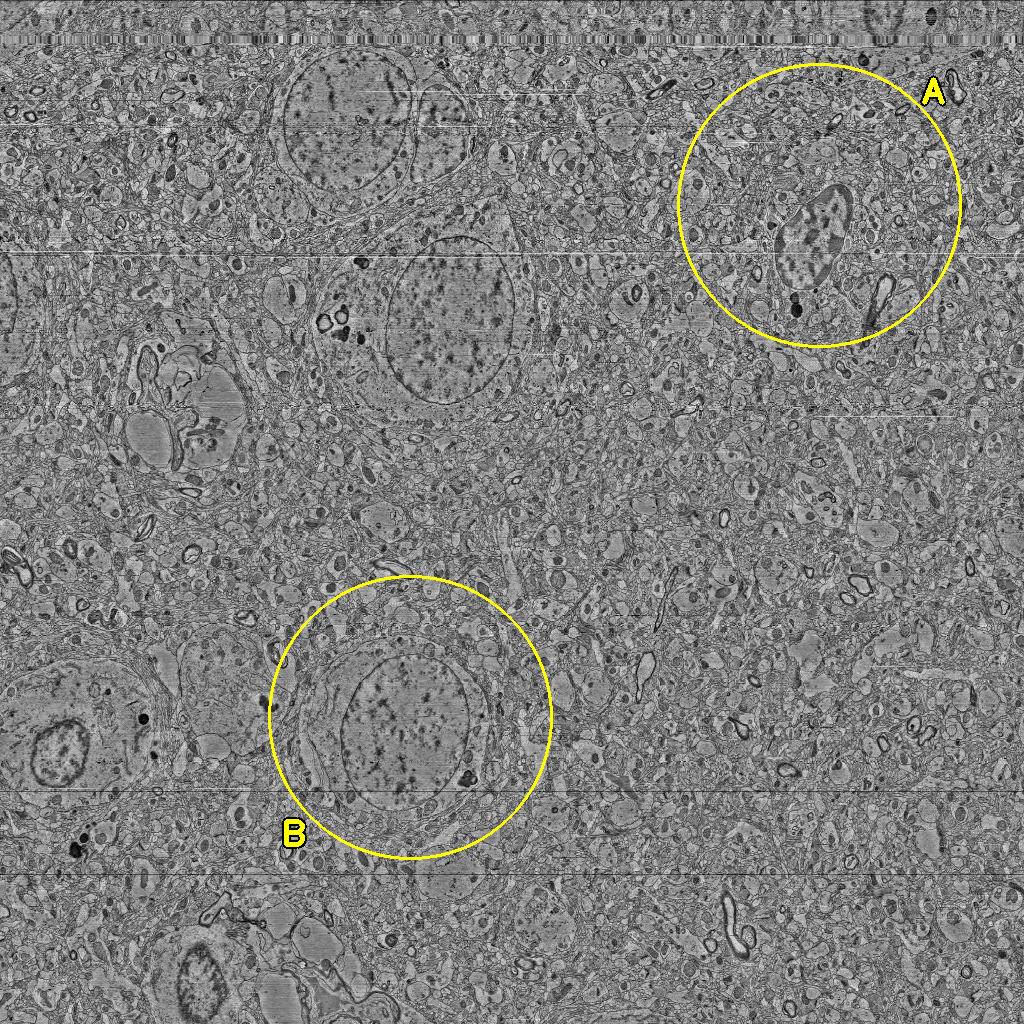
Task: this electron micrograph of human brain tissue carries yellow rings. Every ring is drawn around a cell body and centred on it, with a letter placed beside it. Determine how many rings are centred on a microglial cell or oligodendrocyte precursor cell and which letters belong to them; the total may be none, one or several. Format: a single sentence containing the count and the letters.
A single ring, lettered A, is centred on a microglial cell or oligodendrocyte precursor cell in this micrograph.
